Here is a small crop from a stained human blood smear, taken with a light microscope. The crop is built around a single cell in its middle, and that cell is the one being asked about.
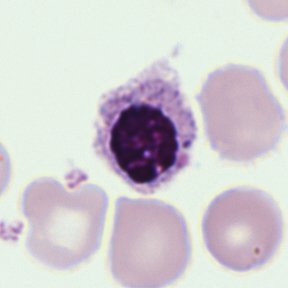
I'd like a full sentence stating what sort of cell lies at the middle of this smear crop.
What the crop centres on is an erythroblast.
